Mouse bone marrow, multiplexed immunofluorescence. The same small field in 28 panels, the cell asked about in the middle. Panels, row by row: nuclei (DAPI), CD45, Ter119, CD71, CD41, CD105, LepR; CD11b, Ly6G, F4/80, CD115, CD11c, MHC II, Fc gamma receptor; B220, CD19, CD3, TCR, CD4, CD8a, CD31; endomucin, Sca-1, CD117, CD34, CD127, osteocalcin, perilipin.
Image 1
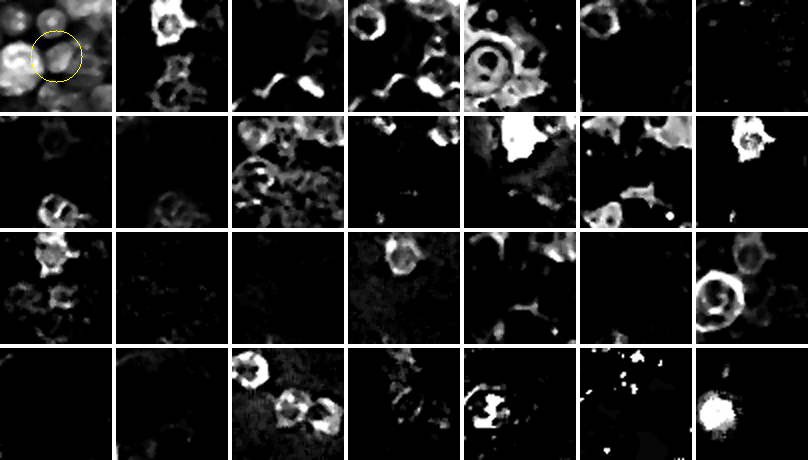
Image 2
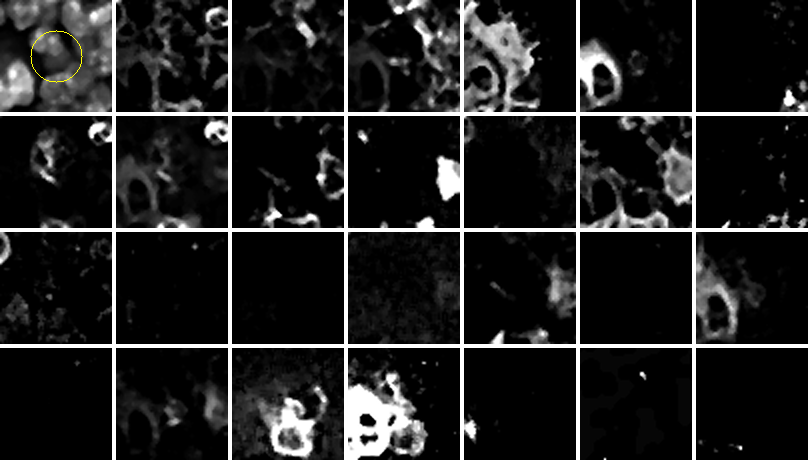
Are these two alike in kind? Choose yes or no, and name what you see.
Yes. Megakaryocyte progenitors.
